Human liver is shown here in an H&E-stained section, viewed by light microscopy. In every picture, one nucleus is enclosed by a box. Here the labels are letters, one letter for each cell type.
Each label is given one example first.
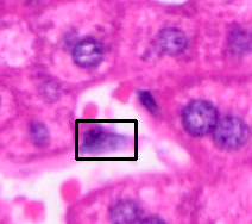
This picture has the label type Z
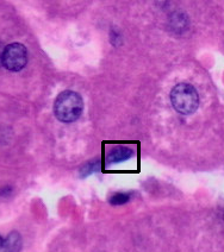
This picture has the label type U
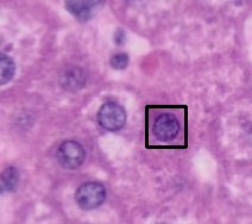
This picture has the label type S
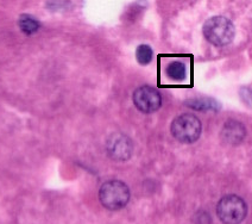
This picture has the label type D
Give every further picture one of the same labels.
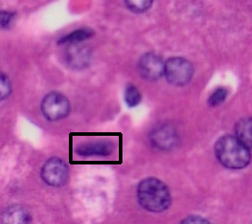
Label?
type U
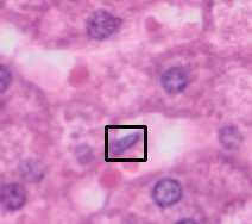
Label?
type Z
